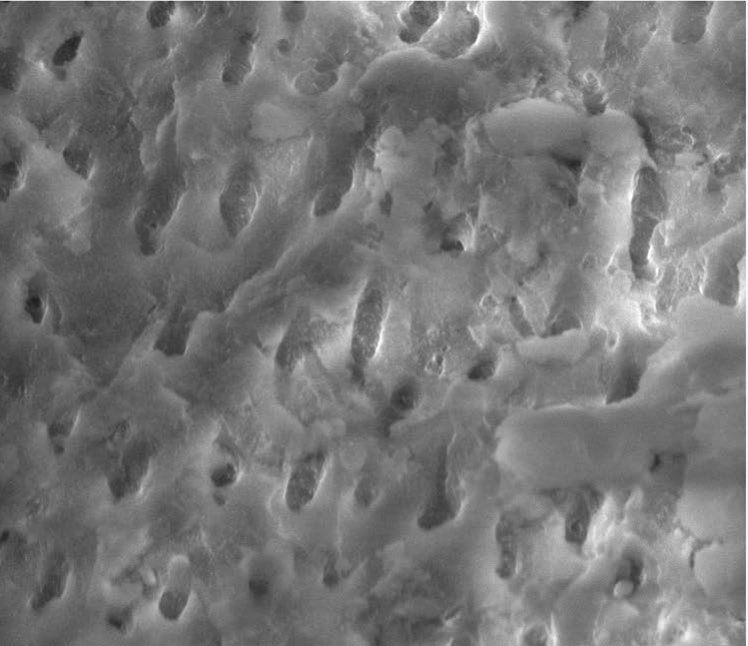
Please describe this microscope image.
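Dentin surface with open dentin tubules, cut obliquely. Brighter ridges of matrix lie between them. The surface is rough and irregular, with raised, smeared-looking plates and lumps of material, especially on the right, that partly cover some tubule openings. Other tubules remain open with dark lumens.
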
